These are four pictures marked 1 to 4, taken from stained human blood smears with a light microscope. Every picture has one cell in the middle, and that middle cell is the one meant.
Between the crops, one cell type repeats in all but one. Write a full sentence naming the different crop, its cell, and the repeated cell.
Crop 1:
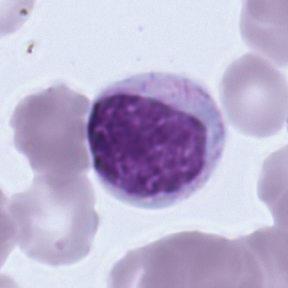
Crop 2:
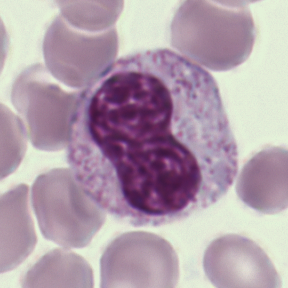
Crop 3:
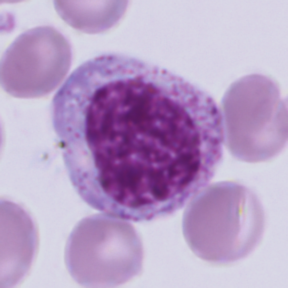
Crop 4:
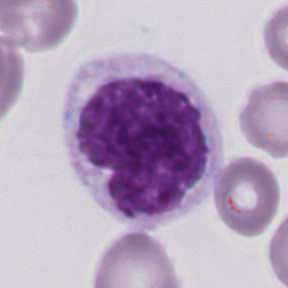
The crop that differs is 3, which is a myelocyte; the rest are metamyelocytes.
